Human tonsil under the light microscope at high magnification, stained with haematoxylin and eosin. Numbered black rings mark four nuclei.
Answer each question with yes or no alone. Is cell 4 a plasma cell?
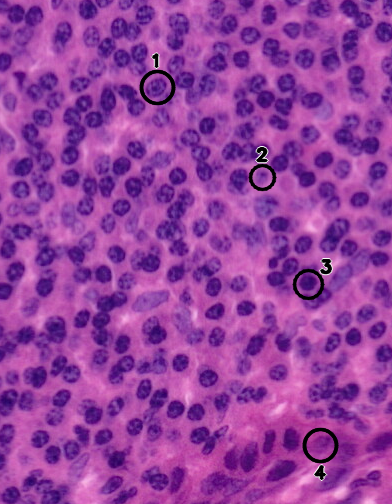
no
